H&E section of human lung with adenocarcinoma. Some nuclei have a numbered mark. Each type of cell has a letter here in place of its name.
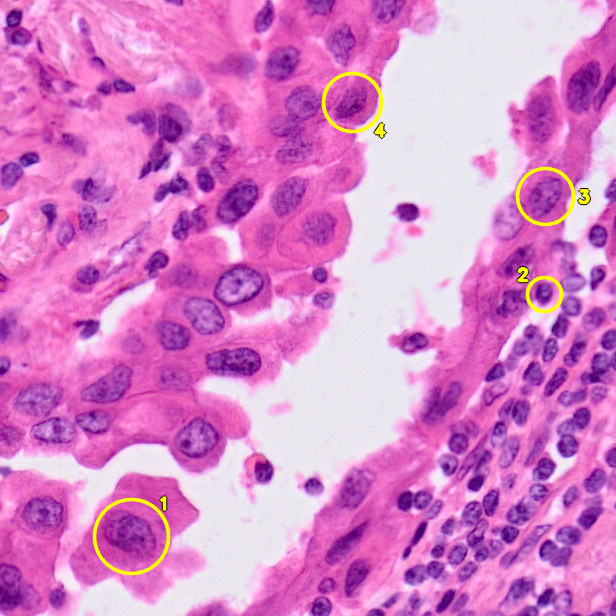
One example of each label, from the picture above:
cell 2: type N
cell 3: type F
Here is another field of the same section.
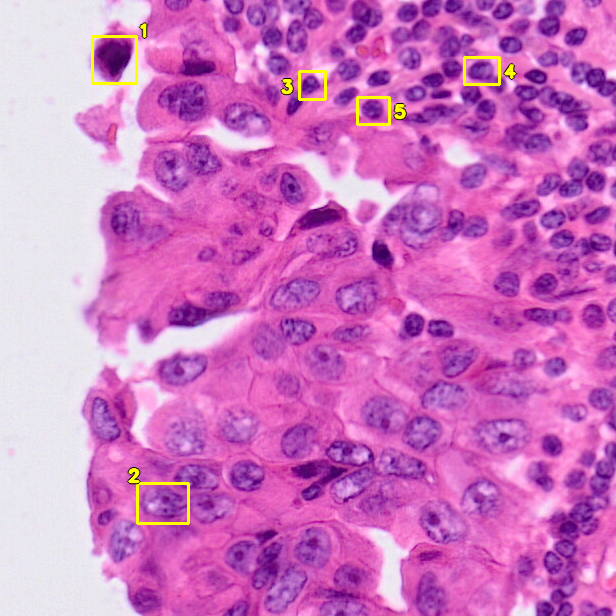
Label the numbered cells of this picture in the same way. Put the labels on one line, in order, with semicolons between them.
type F; type F; type N; type N; type N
